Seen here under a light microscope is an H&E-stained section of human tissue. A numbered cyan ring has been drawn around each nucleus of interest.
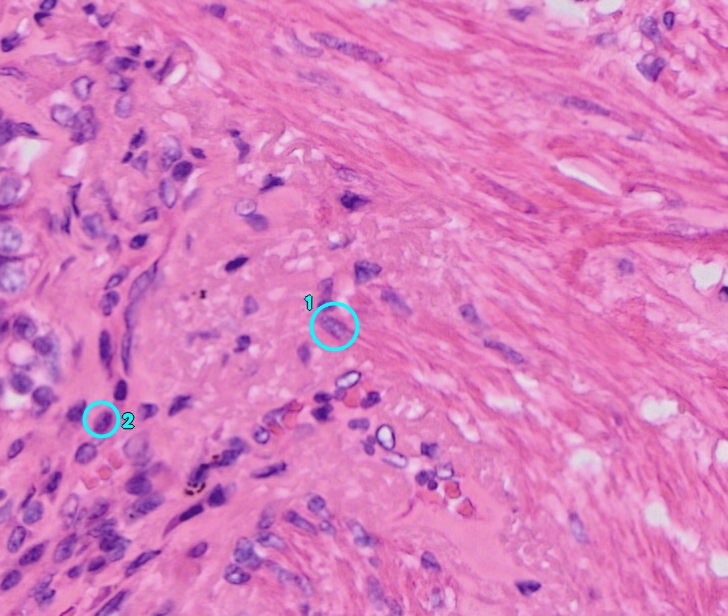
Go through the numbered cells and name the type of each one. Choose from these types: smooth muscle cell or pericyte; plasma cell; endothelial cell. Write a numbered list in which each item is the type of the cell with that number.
1. smooth muscle cell or pericyte
2. plasma cell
